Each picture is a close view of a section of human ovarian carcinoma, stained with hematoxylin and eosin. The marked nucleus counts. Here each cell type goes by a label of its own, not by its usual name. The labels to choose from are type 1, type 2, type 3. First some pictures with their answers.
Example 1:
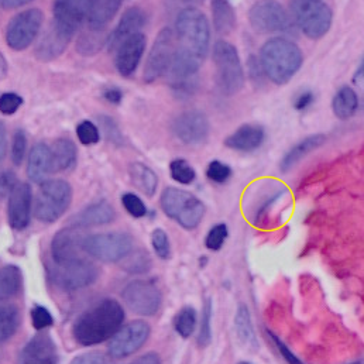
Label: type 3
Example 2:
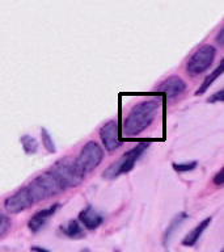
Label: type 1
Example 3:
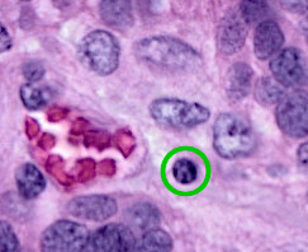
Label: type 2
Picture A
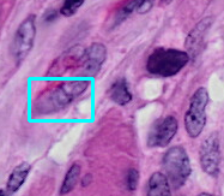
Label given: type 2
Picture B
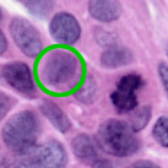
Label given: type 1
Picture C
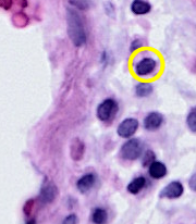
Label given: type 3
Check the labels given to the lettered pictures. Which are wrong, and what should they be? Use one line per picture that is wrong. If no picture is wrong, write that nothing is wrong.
A: change type 2 to type 3
C: change type 3 to type 2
